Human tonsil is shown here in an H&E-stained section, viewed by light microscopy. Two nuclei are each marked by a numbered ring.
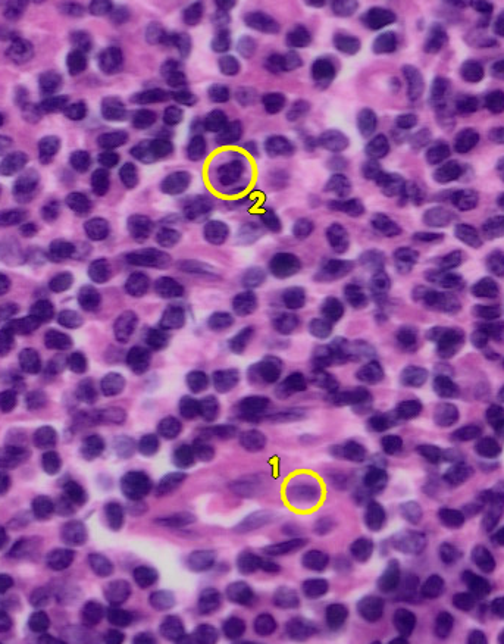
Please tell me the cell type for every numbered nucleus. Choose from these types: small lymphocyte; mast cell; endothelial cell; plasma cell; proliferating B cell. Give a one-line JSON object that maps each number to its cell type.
{"1": "endothelial cell", "2": "plasma cell"}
